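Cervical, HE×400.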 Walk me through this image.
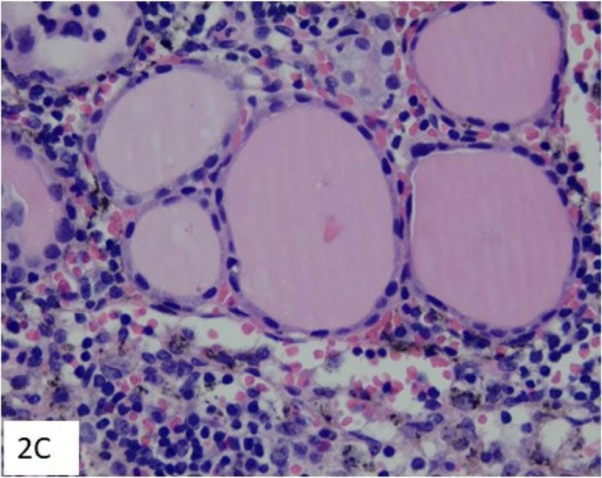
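Tumour in lymph node tissue grows as rounded follicles, each filled with smooth pink colloid-like material and rimmed by a single layer of flattened epithelial cells. The lining nuclei are small, dark and elongated, showing little atypia. Between the follicles lie small dark lymphocytes, red blood cells and scattered cells with dark brown granular pigment.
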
